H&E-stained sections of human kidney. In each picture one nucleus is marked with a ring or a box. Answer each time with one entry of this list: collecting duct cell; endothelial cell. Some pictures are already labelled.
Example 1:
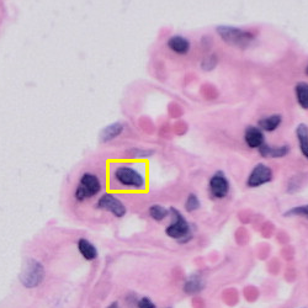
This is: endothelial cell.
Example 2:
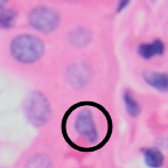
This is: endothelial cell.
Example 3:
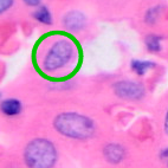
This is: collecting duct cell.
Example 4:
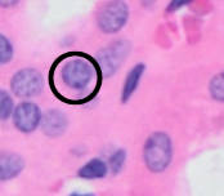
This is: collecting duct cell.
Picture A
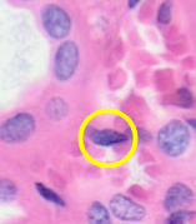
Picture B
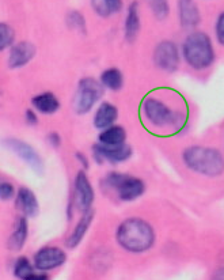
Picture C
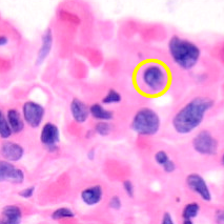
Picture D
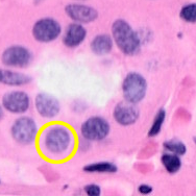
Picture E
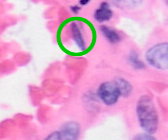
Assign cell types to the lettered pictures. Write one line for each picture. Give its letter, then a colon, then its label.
A: endothelial cell.
B: collecting duct cell.
C: endothelial cell.
D: collecting duct cell.
E: endothelial cell.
